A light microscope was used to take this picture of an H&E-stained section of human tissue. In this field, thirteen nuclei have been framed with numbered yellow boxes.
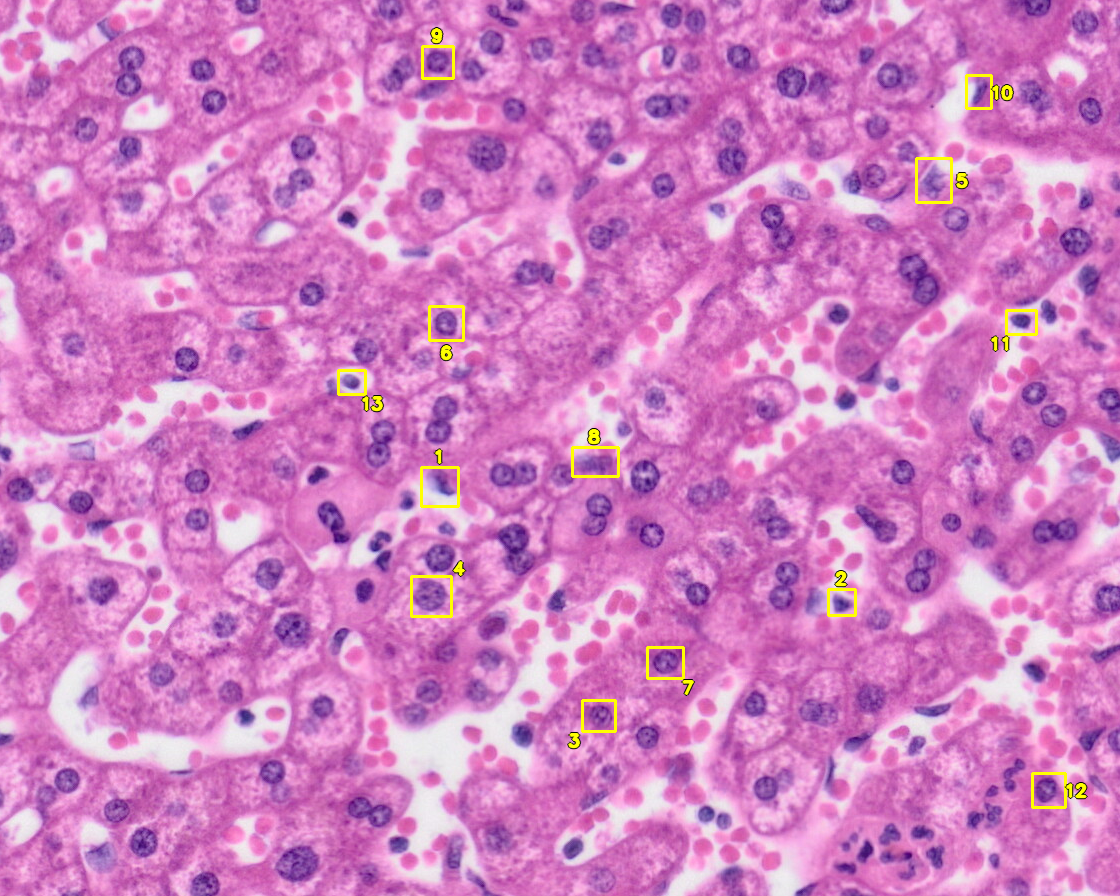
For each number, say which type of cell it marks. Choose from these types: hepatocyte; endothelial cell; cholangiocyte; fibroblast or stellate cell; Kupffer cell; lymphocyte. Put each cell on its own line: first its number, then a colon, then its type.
1: endothelial cell
2: lymphocyte
3: hepatocyte
4: hepatocyte
5: endothelial cell
6: hepatocyte
7: hepatocyte
8: endothelial cell
9: hepatocyte
10: endothelial cell
11: lymphocyte
12: hepatocyte
13: lymphocyte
